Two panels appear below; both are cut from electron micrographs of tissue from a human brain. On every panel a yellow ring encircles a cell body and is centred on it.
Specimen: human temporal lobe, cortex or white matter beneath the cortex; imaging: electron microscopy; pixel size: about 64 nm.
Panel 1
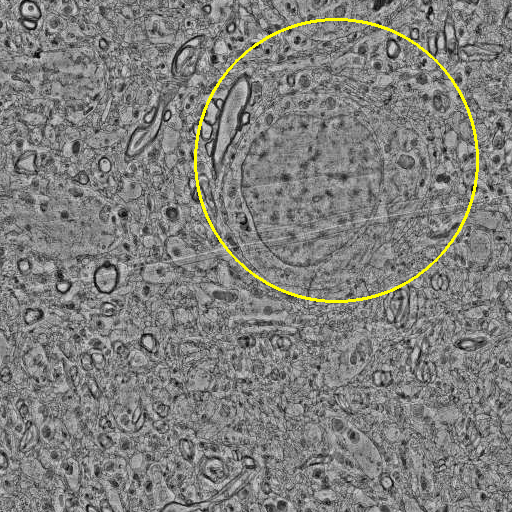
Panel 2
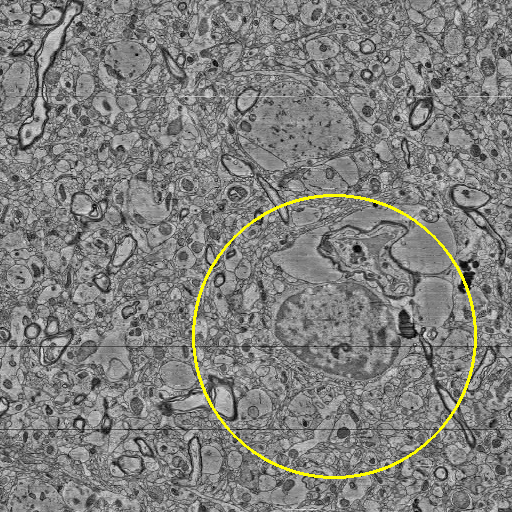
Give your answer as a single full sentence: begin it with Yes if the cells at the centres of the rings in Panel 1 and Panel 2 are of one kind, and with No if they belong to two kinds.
No, the cells in the middle of the rings in Panels 1 and 2 are of two kinds.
